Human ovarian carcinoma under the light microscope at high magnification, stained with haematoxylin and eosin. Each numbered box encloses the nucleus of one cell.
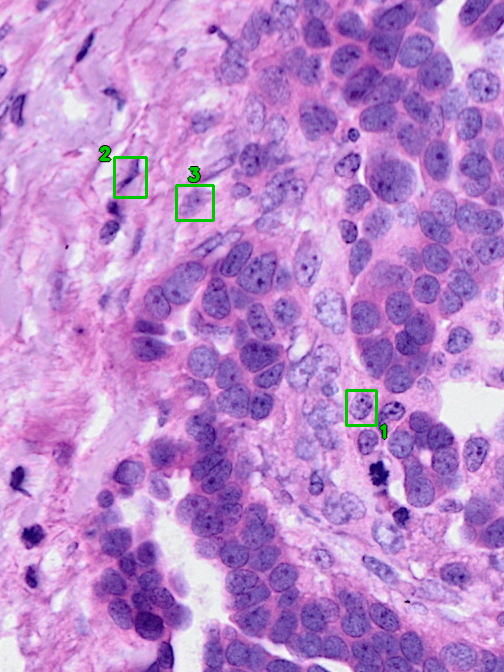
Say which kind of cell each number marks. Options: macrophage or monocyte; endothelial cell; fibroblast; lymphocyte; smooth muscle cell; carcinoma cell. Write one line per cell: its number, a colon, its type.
1: macrophage or monocyte
2: fibroblast
3: fibroblast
